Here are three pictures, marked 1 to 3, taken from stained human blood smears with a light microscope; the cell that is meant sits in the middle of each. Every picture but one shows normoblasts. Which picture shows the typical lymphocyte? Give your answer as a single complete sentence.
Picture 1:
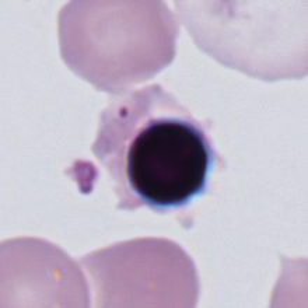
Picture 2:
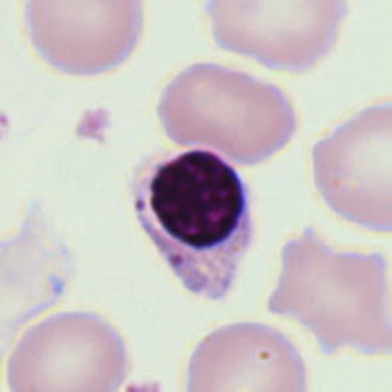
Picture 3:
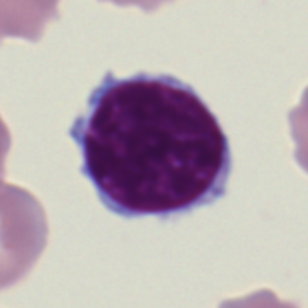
Picture 3 is the one that shows the typical lymphocyte.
